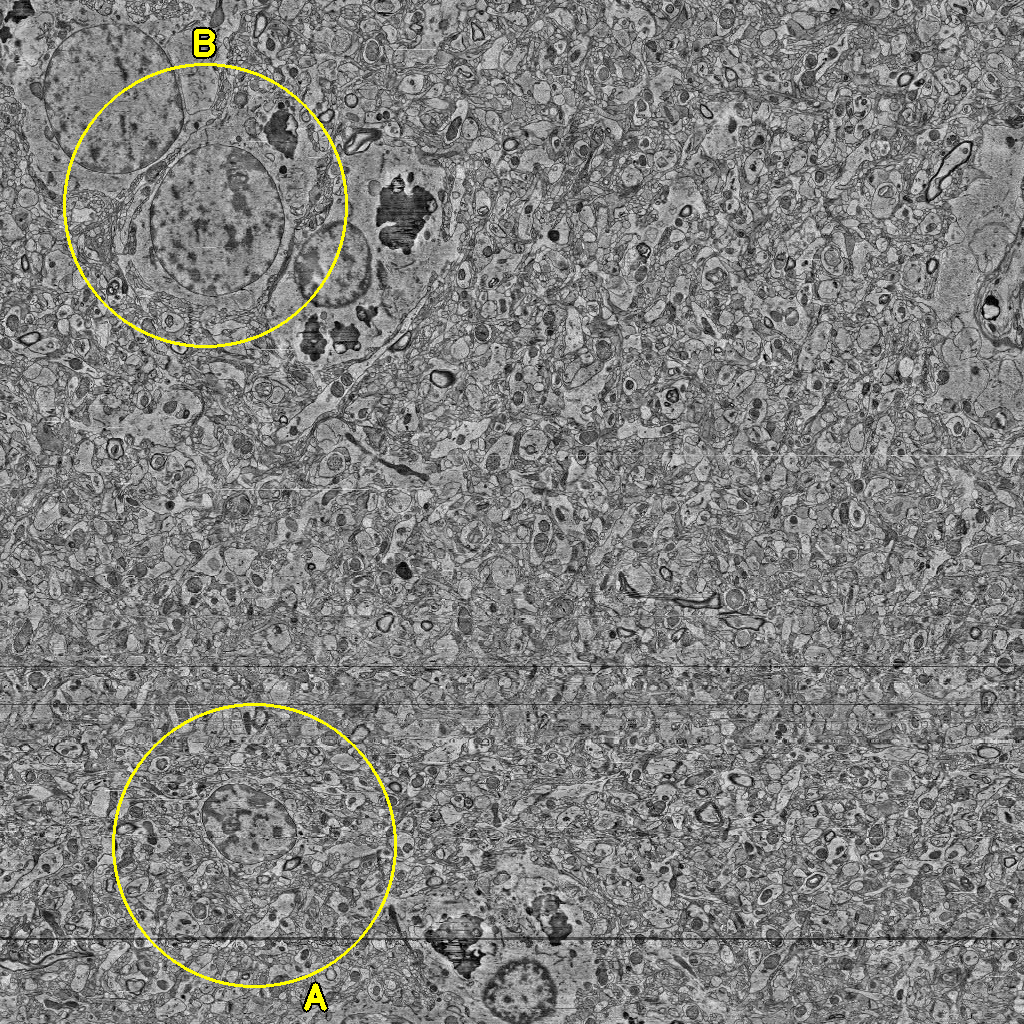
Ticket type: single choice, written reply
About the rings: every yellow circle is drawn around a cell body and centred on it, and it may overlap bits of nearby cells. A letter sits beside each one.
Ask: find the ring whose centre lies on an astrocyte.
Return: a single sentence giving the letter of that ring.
At the centre of the ring marked B lies the cell asked for.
